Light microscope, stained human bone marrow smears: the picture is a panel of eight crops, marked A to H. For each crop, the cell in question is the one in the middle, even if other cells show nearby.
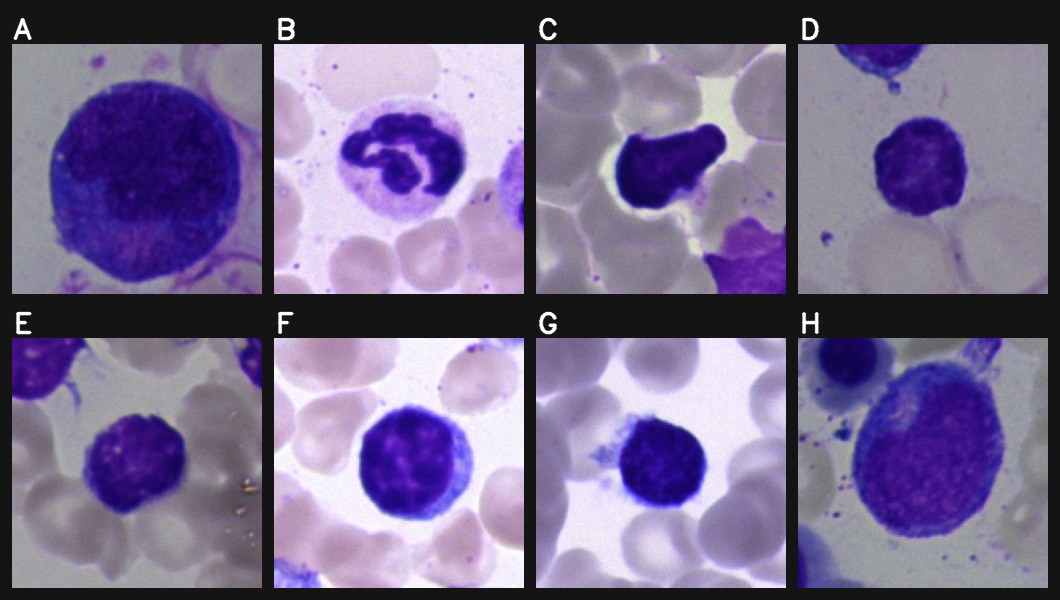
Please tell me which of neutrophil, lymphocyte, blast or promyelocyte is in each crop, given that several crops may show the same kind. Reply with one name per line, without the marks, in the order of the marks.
blast
neutrophil
lymphocyte
lymphocyte
lymphocyte
lymphocyte
lymphocyte
blast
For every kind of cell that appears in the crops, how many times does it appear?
lymphocyte: 5
blast: 2
neutrophil: 1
